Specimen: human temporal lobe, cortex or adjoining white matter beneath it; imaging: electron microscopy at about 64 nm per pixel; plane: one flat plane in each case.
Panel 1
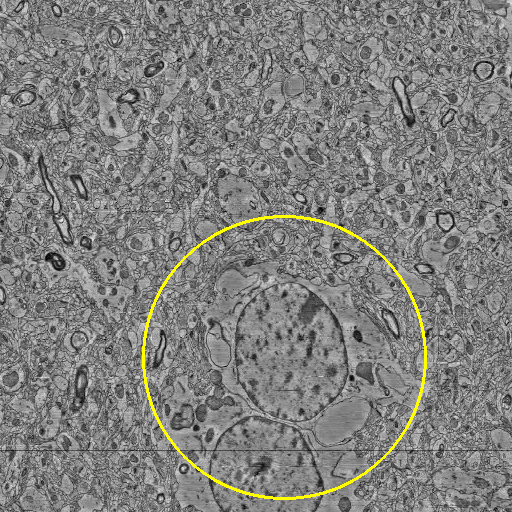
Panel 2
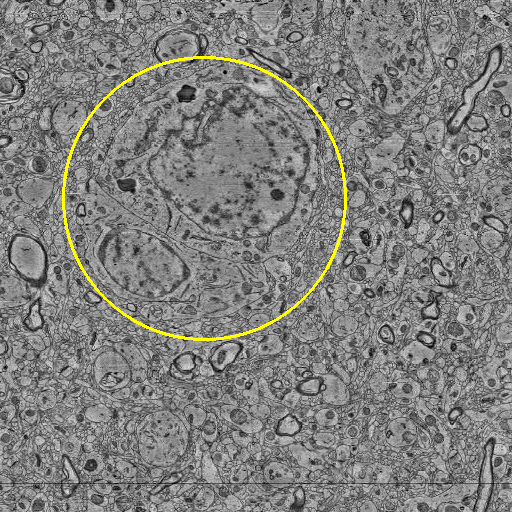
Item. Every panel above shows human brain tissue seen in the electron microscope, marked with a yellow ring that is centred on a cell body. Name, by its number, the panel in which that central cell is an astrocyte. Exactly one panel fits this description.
1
